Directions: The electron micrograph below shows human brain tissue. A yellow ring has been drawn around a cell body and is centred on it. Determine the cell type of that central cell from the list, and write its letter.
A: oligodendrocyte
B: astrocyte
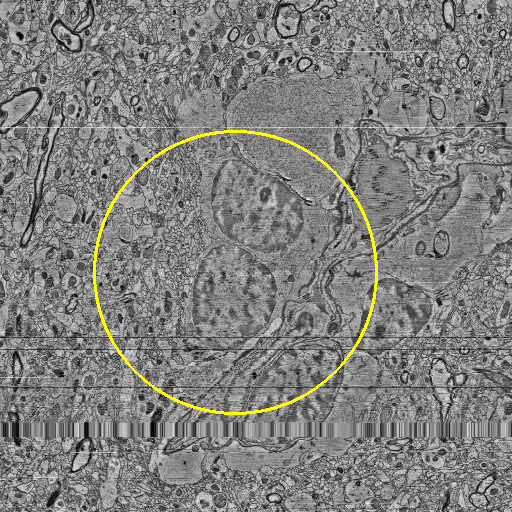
A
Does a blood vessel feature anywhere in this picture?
Yes, the picture includes a blood vessel.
